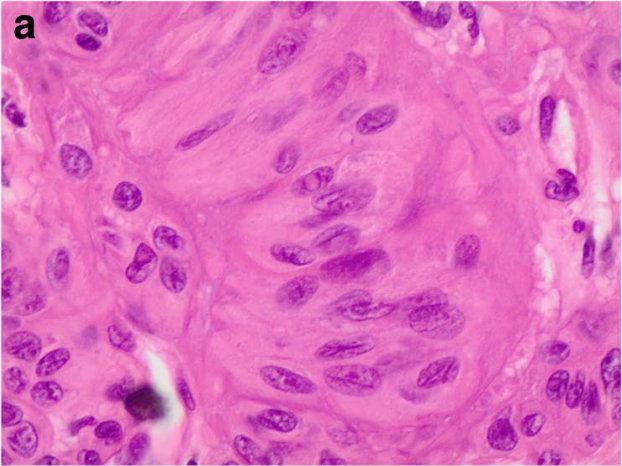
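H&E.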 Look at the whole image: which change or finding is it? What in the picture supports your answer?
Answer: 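Many nuclei are elongated and oval to spindle-shaped. Elongated cells lie in a streaming, parallel arrangement.
Hence: spindle appearance.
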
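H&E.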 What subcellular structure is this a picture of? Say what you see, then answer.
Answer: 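The cytoplasm is abundant and stained pink. Cell borders are indistinct within the pink cytoplasm.
Hence: eosinophilic cytoplasma.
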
